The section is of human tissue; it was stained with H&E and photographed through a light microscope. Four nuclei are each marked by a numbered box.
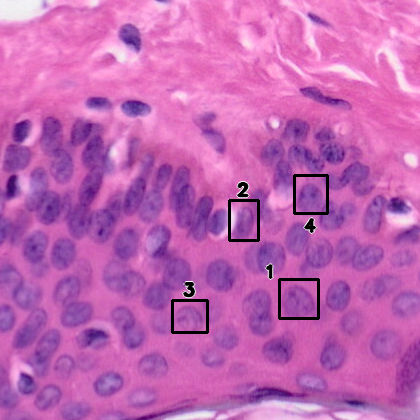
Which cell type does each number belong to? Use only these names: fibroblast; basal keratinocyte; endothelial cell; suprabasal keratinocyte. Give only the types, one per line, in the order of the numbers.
suprabasal keratinocyte
basal keratinocyte
suprabasal keratinocyte
basal keratinocyte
